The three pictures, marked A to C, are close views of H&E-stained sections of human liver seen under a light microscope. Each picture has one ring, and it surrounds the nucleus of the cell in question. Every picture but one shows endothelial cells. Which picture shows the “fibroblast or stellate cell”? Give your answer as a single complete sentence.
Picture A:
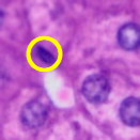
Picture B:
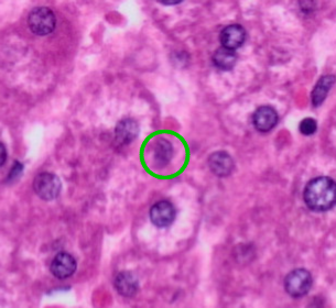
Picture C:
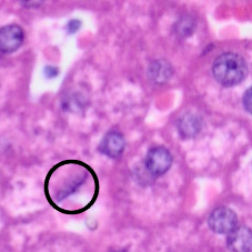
The picture with the “fibroblast or stellate cell” is A.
